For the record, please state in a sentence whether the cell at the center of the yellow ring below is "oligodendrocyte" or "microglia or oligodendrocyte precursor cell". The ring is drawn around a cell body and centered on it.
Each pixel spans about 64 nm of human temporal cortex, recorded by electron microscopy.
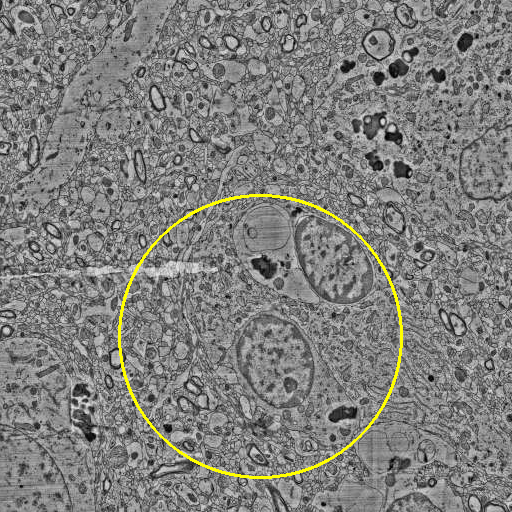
The cell at the ring's center is an oligodendrocyte.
